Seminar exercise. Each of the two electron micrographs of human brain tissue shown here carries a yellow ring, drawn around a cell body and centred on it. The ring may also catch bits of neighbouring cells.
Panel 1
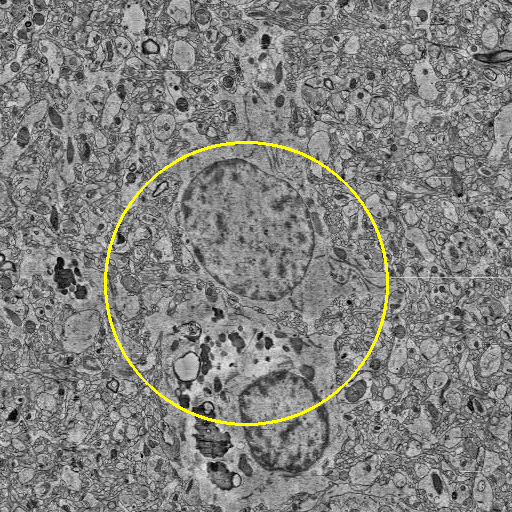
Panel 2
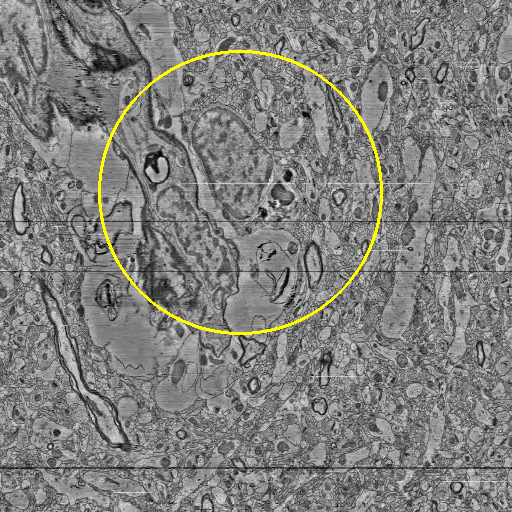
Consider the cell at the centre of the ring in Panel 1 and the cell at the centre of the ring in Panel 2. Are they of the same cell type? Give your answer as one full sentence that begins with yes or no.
No, the two cells are of two types.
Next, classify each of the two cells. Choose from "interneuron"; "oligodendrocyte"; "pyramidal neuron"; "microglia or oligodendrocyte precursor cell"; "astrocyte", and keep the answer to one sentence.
In the first picture it is an astrocyte; in the second it is an oligodendrocyte.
